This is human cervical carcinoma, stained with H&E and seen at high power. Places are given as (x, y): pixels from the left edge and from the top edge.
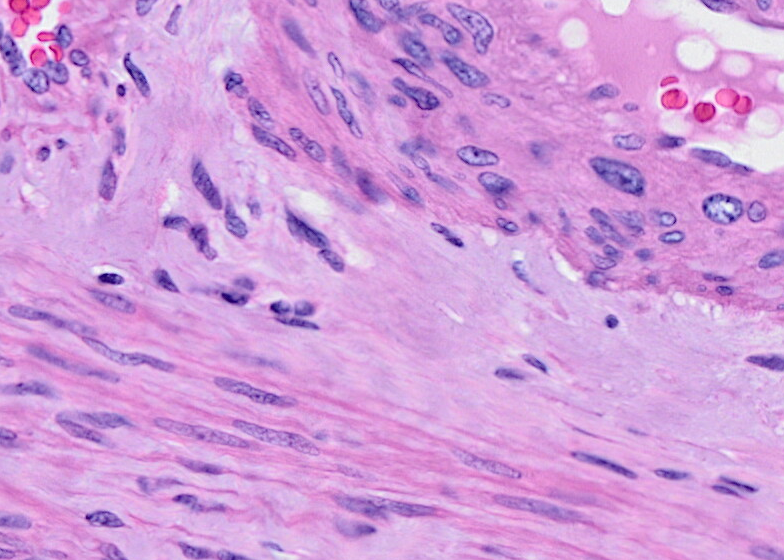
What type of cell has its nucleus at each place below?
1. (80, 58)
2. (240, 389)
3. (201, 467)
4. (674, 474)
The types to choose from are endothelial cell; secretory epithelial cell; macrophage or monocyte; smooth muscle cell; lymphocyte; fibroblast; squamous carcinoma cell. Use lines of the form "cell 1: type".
cell 1: endothelial cell
cell 2: smooth muscle cell
cell 3: smooth muscle cell
cell 4: fibroblast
